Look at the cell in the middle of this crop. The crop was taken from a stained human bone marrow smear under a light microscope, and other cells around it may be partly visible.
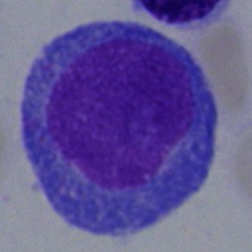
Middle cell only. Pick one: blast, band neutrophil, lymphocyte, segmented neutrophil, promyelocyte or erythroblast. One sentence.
The cell that lies at the centre of the crop is a blast.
